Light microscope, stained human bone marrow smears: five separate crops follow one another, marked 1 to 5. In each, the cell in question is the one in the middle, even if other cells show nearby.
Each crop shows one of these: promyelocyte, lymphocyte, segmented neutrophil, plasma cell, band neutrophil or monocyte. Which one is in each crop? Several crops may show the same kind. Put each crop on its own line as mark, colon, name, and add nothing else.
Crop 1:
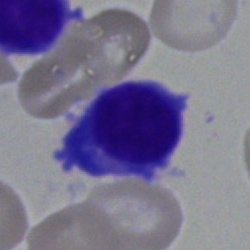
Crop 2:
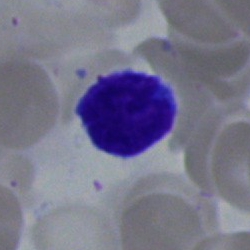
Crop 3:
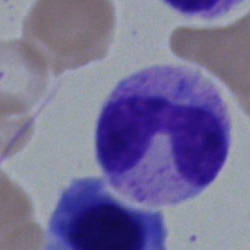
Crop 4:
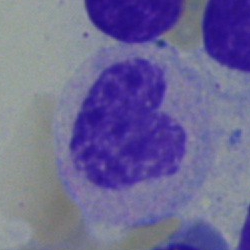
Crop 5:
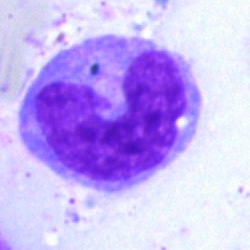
1: plasma cell
2: lymphocyte
3: band neutrophil
4: band neutrophil
5: monocyte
